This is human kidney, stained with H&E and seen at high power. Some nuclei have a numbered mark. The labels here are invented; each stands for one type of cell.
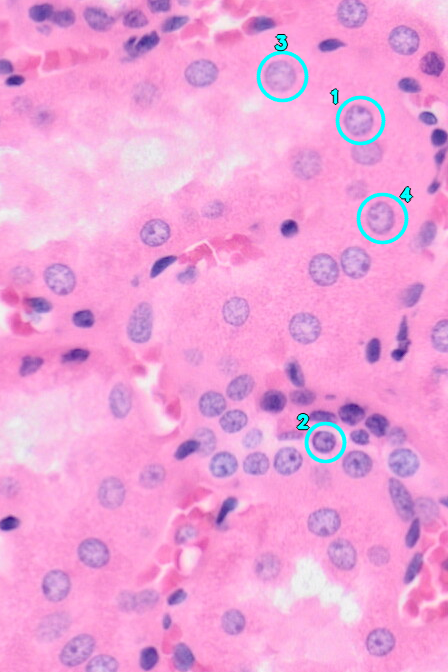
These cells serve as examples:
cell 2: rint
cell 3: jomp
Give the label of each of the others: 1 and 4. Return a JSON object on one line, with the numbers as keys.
{"1": "jomp", "4": "jomp"}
